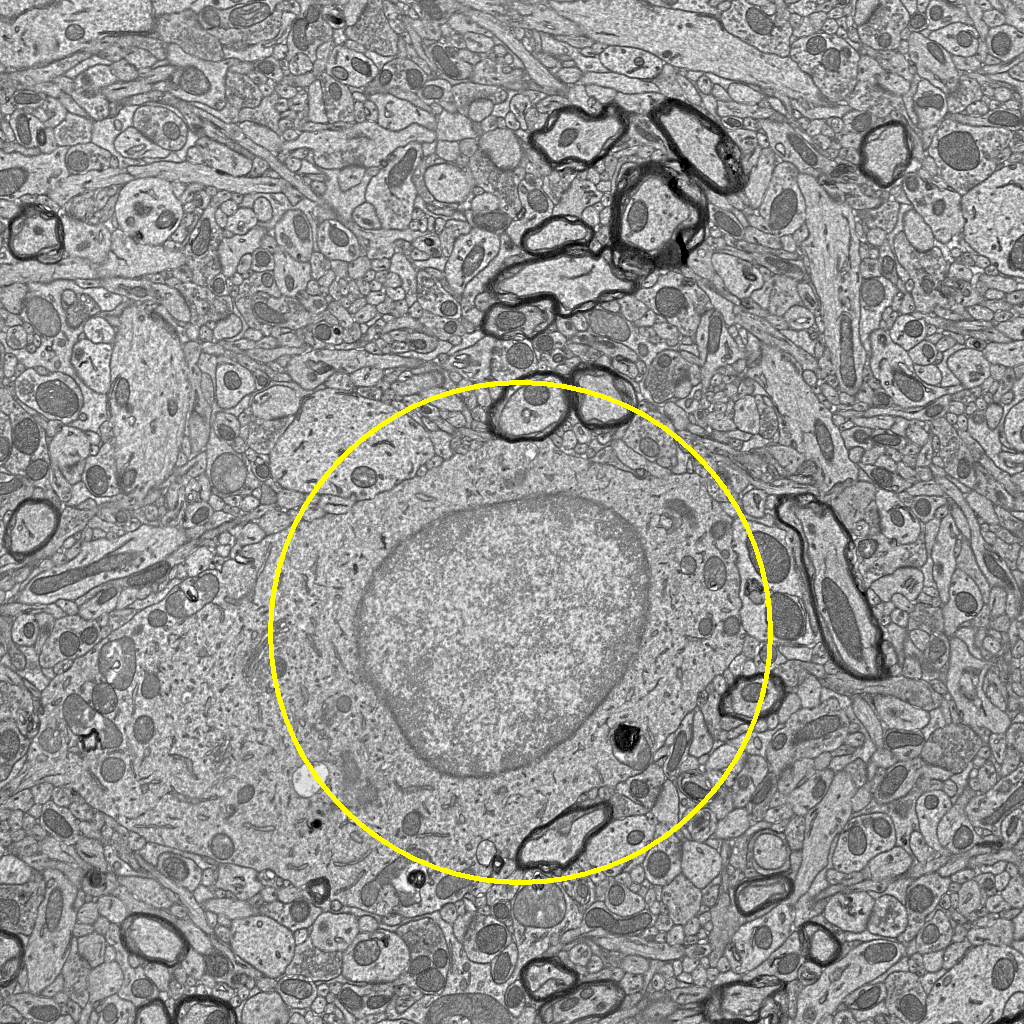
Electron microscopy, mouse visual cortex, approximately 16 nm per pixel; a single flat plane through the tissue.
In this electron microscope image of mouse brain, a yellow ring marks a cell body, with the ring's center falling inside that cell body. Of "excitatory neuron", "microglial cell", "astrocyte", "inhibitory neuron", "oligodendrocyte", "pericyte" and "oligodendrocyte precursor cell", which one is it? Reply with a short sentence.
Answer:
It is an oligodendrocyte at the center of the ring.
